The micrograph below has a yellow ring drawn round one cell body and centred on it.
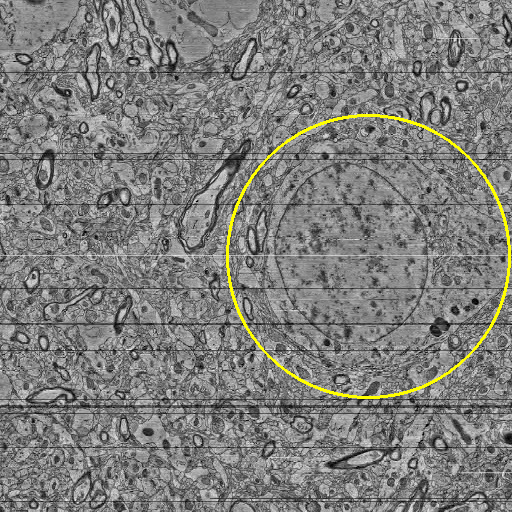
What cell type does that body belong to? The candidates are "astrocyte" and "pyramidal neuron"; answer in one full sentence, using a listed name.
This is a pyramidal neuron, the cell whose body lies at the centre of the ring.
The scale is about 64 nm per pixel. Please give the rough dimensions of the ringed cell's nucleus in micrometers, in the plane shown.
About 12 by 10 micrometers, in this plane.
